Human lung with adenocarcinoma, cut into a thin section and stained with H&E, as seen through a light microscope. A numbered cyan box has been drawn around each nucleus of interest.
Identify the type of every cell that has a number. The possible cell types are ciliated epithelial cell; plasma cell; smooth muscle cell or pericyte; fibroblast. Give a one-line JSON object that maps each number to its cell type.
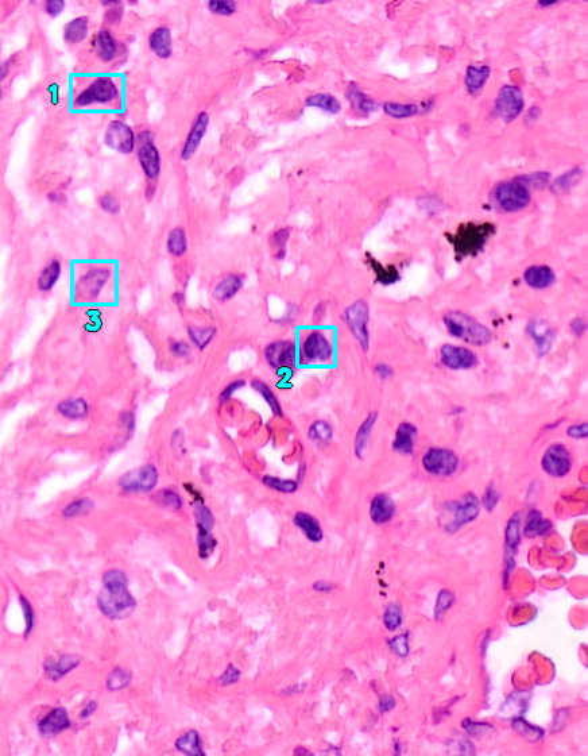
{"1": "plasma cell", "2": "plasma cell", "3": "fibroblast"}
